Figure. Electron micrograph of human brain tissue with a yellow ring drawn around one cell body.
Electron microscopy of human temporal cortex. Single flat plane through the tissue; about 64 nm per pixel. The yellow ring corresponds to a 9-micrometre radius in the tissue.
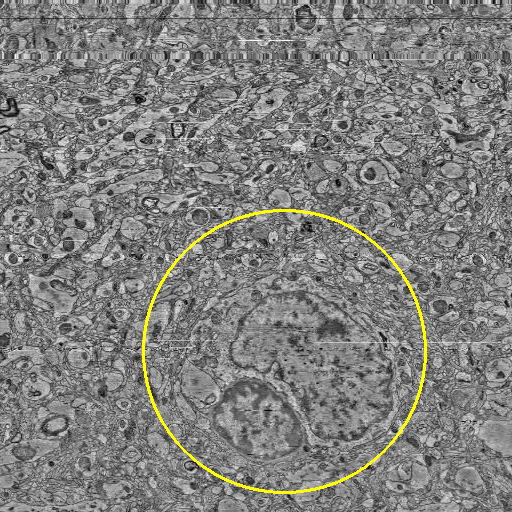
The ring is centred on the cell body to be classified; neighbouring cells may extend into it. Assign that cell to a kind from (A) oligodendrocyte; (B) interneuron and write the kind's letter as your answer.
B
